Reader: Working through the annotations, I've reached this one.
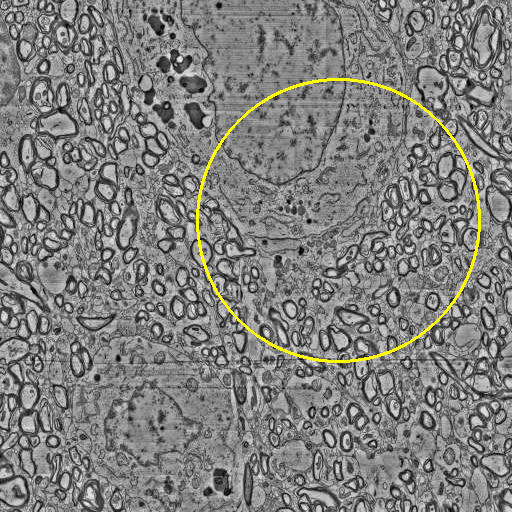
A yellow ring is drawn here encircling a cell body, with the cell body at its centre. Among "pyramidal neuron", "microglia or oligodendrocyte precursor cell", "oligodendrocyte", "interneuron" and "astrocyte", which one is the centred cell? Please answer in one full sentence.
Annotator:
The cell body at the centre of the yellow ring in this image belongs to a microglial cell or oligodendrocyte precursor cell.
